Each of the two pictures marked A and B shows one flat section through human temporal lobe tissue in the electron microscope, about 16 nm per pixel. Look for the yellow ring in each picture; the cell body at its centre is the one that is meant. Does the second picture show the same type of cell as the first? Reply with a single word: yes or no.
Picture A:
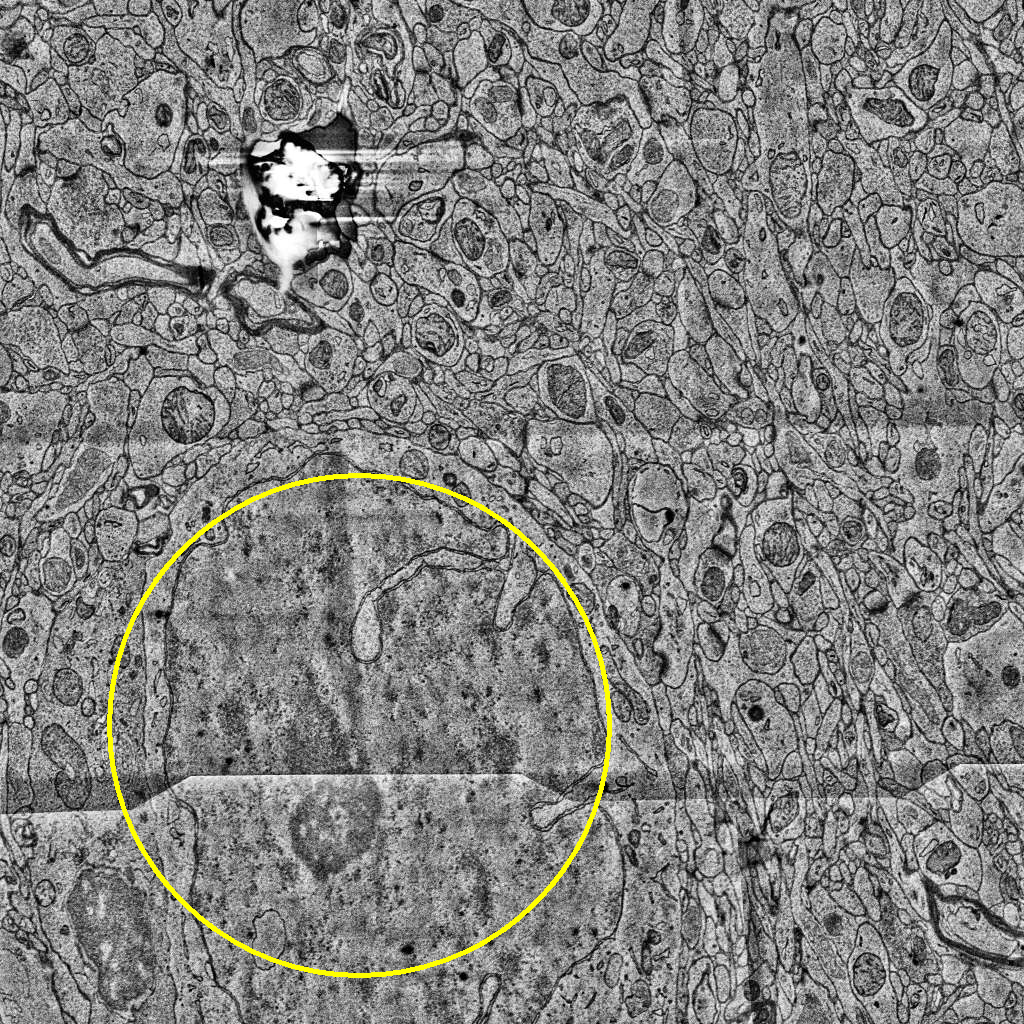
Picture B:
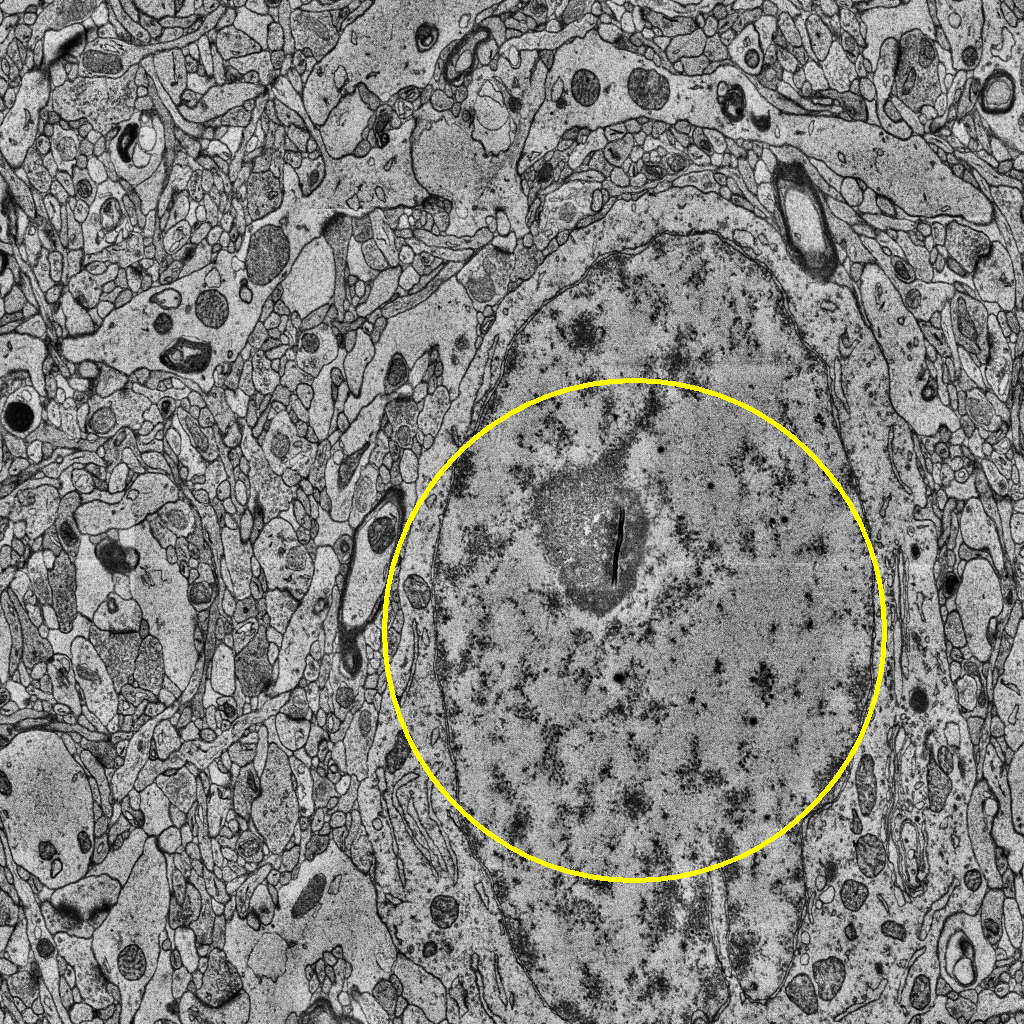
yes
